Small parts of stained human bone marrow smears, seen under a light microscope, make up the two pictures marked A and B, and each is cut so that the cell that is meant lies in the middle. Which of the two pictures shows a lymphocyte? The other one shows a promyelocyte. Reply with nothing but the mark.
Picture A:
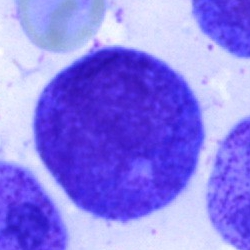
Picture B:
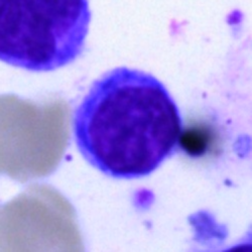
B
